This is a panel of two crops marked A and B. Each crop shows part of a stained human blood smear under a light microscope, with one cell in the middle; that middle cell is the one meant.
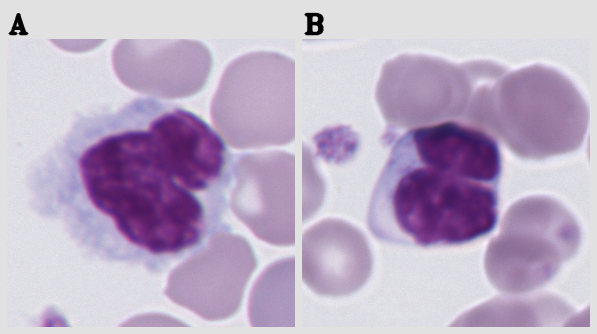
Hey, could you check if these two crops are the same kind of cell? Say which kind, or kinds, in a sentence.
No; crop A is a hairy cell, while crop B is a large granular lymphocyte.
